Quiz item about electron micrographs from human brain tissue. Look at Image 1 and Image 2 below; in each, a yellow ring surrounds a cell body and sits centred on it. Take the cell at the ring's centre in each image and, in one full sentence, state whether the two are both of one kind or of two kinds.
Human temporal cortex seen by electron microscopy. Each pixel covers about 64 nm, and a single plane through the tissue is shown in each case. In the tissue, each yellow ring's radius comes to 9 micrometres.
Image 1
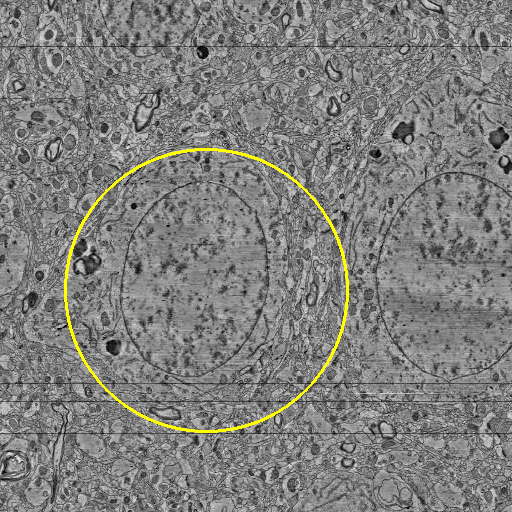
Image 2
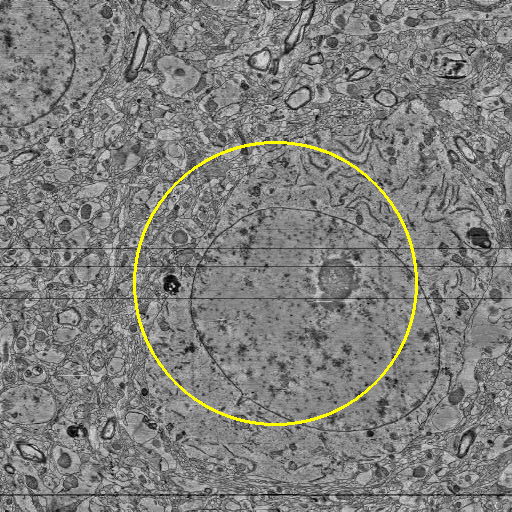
In Image 1 and Image 2, the cells at the ring centres are both of one kind.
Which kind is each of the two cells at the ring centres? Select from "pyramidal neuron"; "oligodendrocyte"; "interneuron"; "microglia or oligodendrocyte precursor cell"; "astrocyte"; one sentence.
In both pictures the ring is centred on a pyramidal neuron.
